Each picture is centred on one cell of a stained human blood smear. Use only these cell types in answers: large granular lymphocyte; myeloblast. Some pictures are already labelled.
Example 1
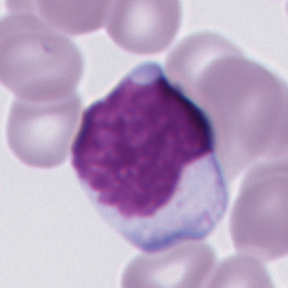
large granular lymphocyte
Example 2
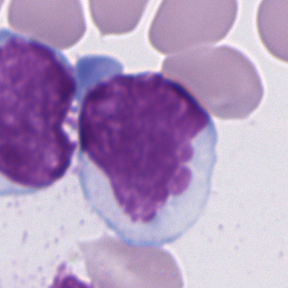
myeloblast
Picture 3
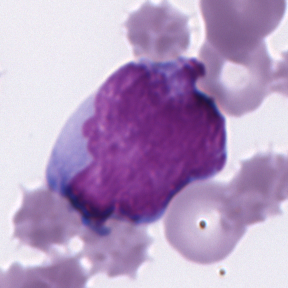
myeloblast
